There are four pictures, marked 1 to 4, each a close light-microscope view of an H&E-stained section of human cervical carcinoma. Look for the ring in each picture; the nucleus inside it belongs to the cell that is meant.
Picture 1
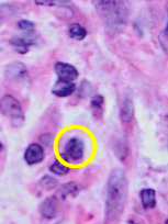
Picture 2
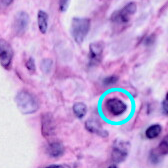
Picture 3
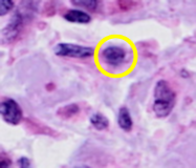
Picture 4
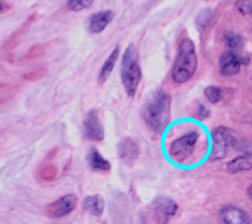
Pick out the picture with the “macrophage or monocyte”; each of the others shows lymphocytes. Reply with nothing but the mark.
4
